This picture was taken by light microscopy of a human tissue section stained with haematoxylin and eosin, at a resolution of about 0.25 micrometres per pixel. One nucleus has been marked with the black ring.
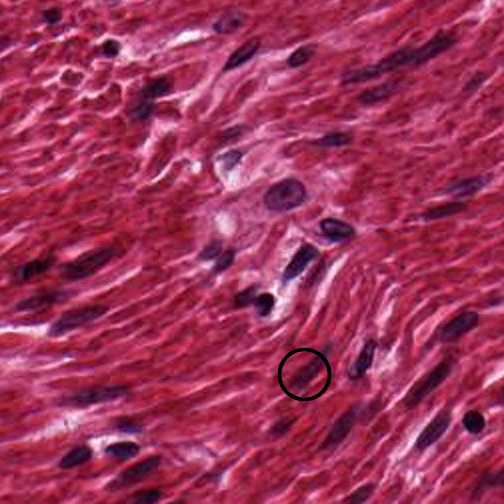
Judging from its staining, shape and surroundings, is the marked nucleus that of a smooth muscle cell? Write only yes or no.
yes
